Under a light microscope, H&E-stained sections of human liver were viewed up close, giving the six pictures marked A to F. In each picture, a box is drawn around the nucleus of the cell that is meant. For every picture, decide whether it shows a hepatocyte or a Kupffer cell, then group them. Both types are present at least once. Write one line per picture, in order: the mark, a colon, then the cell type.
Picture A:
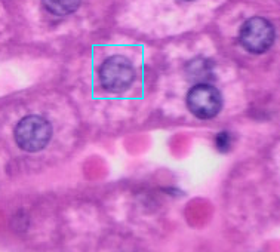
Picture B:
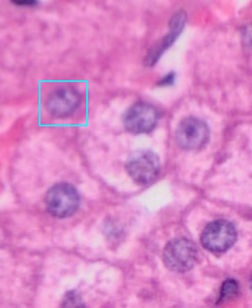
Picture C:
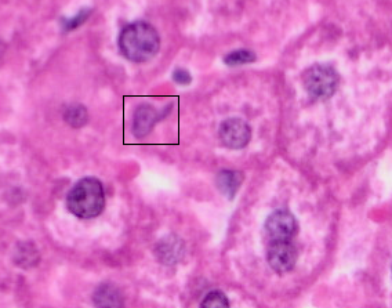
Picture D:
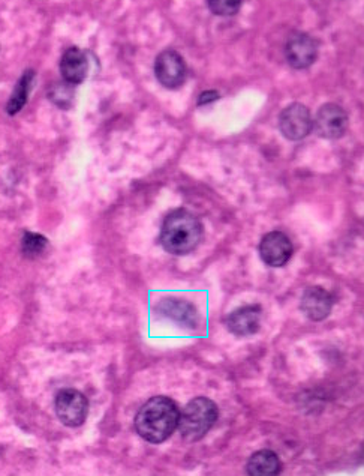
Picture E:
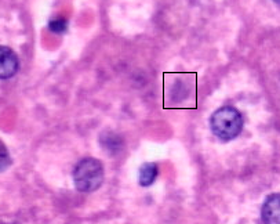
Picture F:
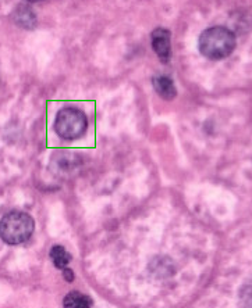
A: hepatocyte
B: hepatocyte
C: Kupffer cell
D: Kupffer cell
E: hepatocyte
F: hepatocyte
